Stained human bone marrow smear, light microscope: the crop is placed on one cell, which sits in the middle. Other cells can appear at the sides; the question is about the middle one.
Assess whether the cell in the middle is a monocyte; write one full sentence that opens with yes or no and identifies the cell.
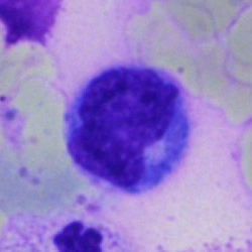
Yes, the cell at the middle of the field is to be classed as a monocyte.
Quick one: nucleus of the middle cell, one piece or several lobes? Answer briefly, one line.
Please observe that the nucleus consists of one compact round, oval or kidney-shaped mass.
